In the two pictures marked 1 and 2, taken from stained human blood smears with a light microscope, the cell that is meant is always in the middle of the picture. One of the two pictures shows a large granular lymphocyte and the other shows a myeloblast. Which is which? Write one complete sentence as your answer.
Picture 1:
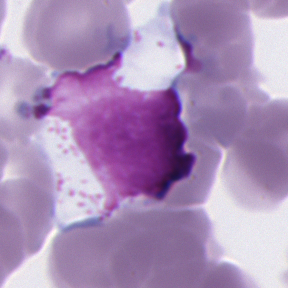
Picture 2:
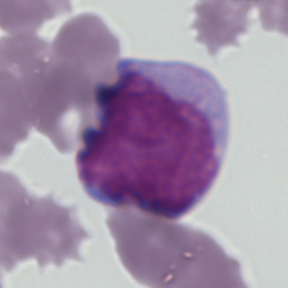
It is picture 1 that shows a large granular lymphocyte, and picture 2 that shows a myeloblast.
